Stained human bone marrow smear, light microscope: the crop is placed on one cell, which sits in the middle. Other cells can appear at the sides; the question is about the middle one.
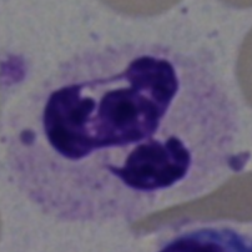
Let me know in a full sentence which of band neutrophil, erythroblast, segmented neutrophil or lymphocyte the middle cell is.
The target cell in the middle of the crop is a segmented neutrophil.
